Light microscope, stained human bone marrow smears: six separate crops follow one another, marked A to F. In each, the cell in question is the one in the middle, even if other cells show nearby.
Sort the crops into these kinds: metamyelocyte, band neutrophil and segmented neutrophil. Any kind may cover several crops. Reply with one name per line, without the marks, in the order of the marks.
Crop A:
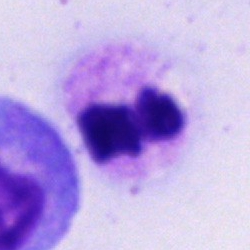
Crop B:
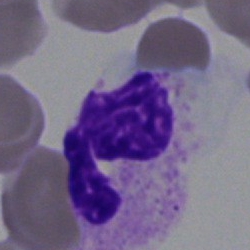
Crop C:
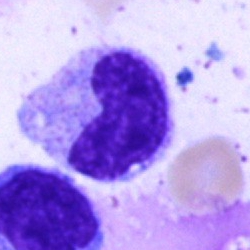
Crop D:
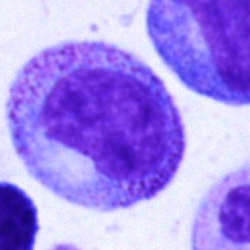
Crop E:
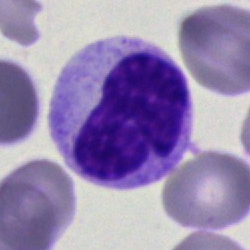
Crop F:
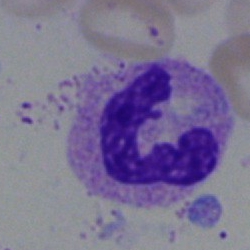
segmented neutrophil
segmented neutrophil
metamyelocyte
metamyelocyte
metamyelocyte
segmented neutrophil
